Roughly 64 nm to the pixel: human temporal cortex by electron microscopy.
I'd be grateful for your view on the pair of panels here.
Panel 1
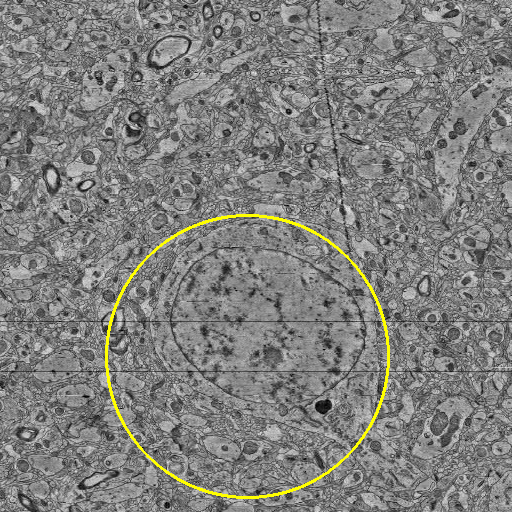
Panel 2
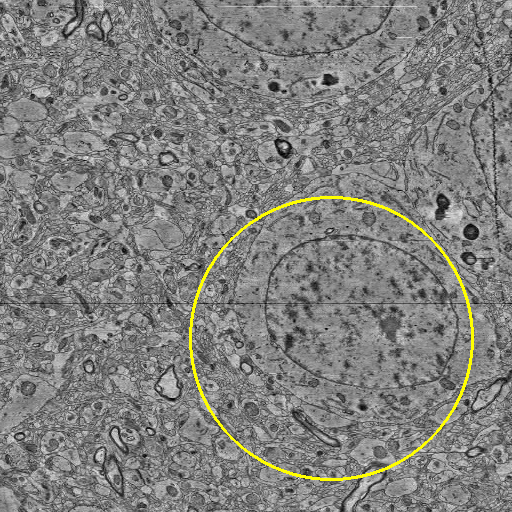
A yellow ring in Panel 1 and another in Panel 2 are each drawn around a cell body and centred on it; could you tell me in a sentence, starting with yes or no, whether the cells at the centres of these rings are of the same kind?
Yes, they are the same kind of cell.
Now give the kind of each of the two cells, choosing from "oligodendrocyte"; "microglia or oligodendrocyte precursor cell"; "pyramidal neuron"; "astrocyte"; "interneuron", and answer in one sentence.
In the first picture and in the second, the ring is centred on a pyramidal neuron.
